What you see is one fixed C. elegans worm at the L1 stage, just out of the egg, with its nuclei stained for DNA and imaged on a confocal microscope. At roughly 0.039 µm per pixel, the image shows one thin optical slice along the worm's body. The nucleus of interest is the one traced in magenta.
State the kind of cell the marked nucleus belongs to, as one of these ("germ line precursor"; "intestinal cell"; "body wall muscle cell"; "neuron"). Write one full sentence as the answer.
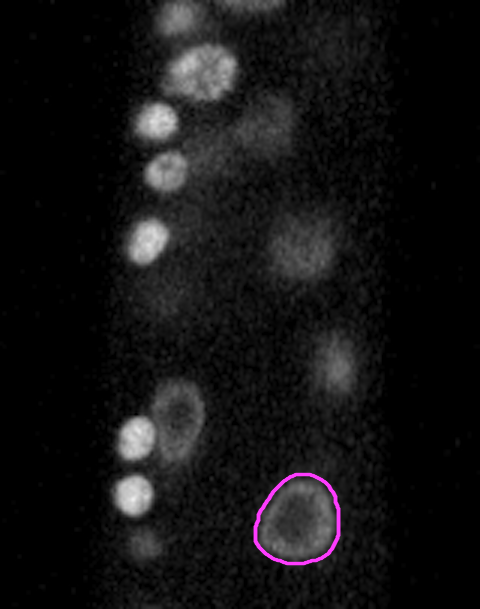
It is the nucleus of an intestinal cell.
